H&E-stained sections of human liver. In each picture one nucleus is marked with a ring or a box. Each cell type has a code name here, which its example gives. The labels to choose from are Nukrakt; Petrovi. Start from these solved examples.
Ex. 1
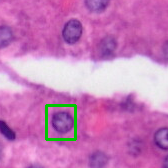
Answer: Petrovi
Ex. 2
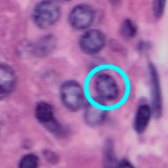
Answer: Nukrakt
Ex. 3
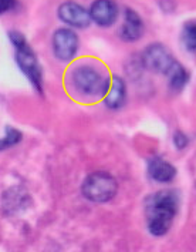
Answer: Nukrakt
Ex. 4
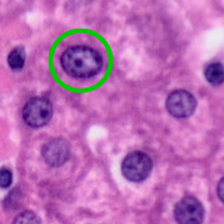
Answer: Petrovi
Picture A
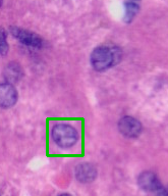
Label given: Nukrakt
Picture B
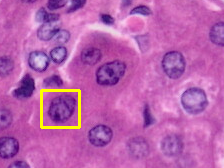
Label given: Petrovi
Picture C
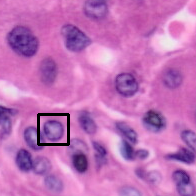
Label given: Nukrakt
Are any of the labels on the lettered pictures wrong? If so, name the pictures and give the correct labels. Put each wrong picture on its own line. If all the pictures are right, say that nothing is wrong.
Wrong: A (Nukrakt); correct: Petrovi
